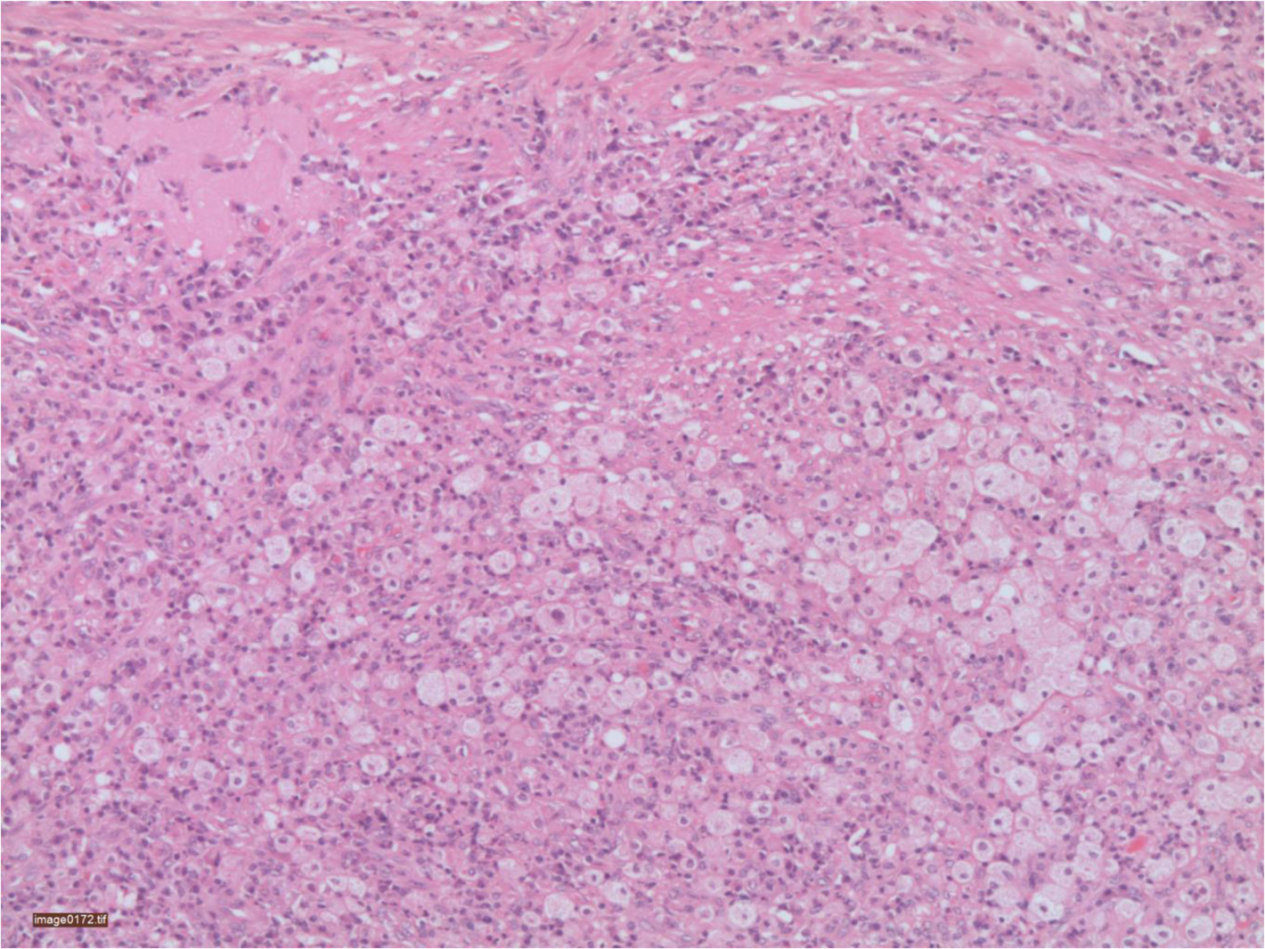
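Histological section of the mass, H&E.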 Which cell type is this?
lipid laden macrophages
